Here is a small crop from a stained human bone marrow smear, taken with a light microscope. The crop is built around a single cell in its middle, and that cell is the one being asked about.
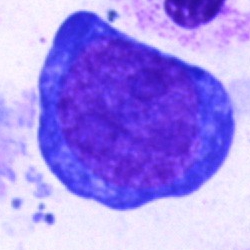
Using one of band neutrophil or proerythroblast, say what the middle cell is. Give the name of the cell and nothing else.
proerythroblast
